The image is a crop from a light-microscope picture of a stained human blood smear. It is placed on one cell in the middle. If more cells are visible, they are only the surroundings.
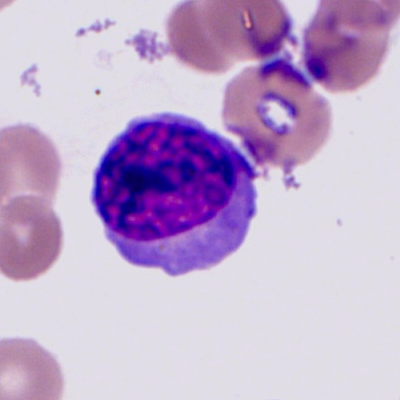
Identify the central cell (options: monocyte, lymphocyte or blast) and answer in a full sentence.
The middle of this crop is occupied by a lymphocyte.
